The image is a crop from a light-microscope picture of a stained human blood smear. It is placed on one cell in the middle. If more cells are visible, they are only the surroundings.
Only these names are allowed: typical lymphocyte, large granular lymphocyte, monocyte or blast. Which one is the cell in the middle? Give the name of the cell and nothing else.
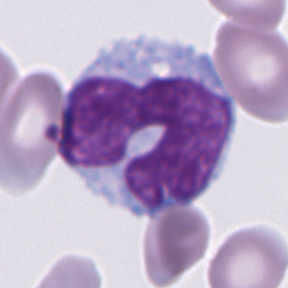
monocyte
